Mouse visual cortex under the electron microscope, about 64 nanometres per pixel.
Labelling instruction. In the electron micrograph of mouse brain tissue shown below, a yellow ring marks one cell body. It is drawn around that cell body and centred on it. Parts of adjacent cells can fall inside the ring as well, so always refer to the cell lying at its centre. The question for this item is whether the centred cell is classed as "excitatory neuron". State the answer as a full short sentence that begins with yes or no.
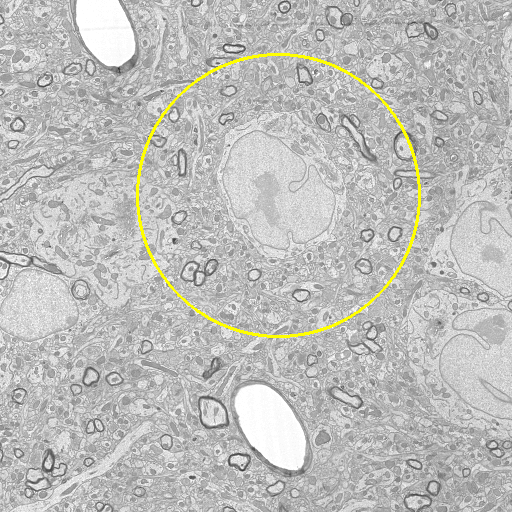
Yes, the centred cell is of that class.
